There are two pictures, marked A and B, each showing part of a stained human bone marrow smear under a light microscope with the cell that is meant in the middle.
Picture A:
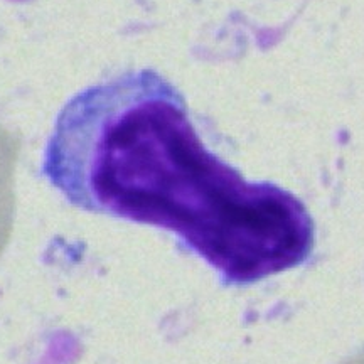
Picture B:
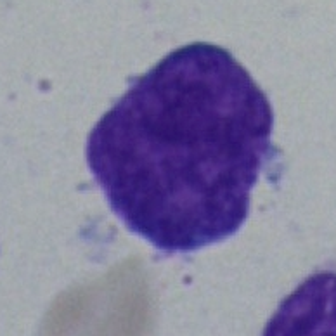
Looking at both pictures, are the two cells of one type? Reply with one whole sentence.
Yes, both are lymphocytes.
